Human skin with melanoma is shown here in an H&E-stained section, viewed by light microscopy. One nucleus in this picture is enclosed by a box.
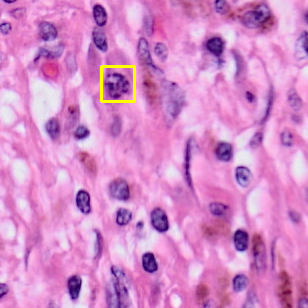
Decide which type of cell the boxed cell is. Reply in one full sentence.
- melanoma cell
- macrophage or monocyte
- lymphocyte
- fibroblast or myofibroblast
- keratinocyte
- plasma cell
As a matter of cell type, the boxed cell is a plasma cell.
